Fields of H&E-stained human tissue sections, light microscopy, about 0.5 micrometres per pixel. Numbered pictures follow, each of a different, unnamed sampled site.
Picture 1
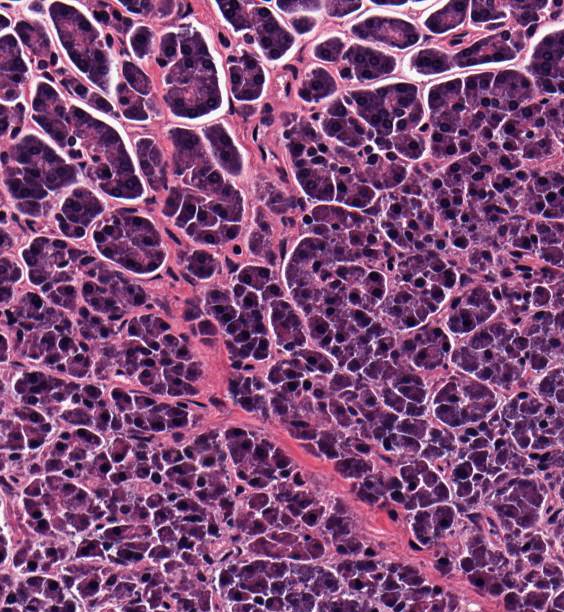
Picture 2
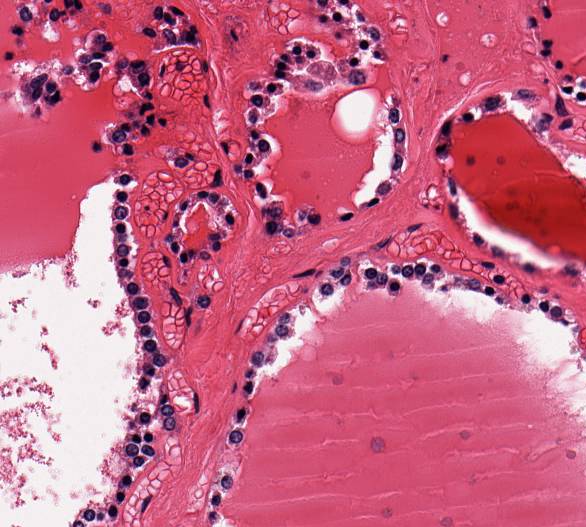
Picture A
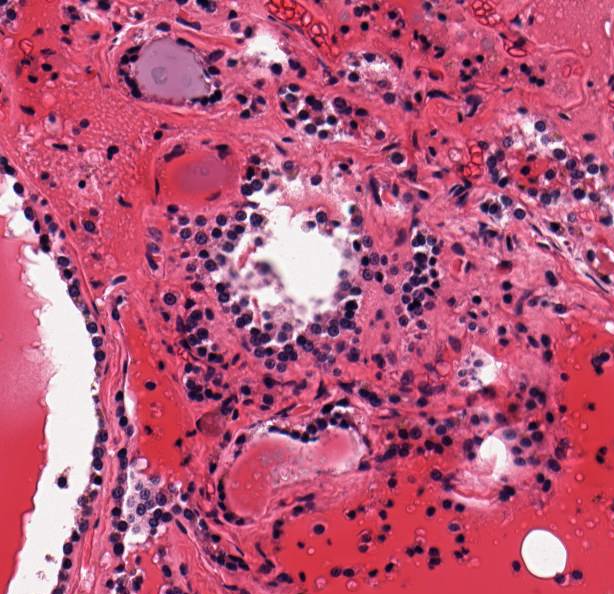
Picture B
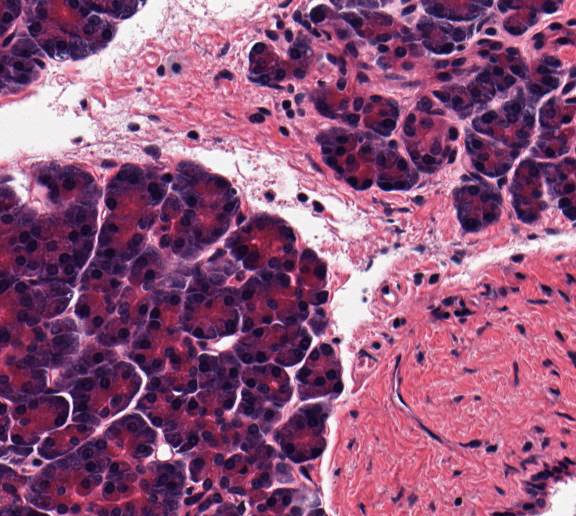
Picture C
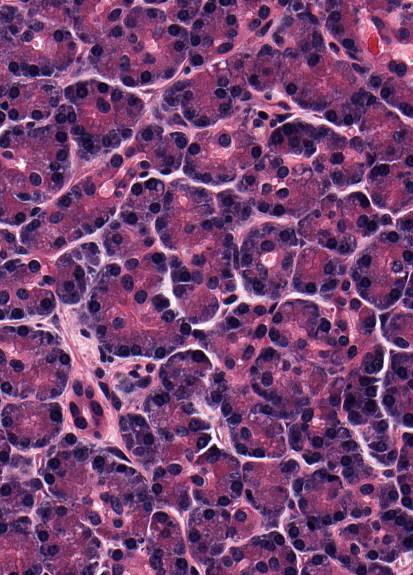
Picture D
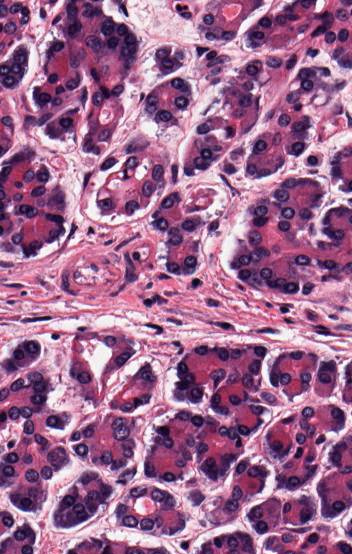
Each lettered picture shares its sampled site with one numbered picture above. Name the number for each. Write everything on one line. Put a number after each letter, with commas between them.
A 2, B 1, C 1, D 1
